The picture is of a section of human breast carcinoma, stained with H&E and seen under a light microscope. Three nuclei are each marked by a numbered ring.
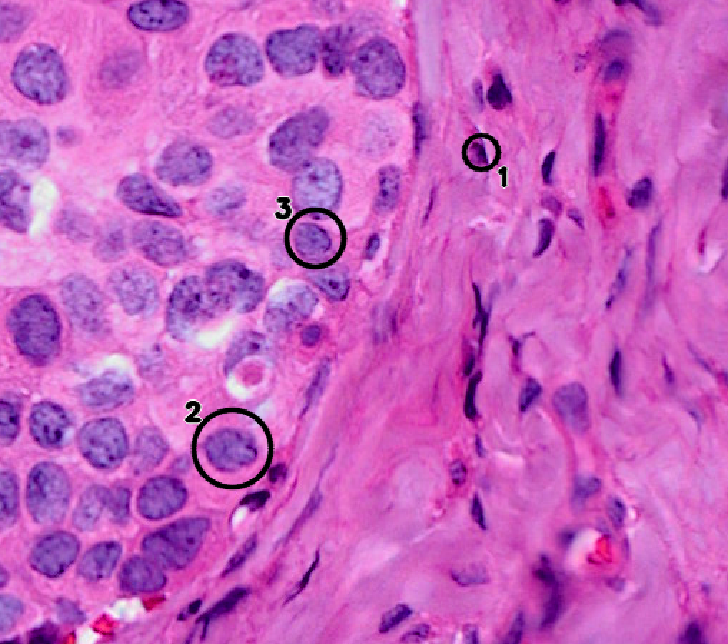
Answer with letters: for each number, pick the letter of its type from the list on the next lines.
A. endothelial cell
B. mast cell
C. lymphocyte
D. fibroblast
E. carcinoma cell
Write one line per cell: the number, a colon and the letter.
1: D
2: E
3: E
